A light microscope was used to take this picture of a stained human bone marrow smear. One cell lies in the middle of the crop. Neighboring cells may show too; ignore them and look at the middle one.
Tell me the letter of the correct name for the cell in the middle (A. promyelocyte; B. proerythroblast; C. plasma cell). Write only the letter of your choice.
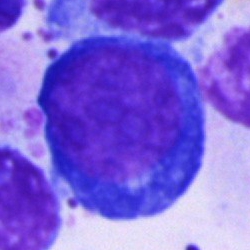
B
